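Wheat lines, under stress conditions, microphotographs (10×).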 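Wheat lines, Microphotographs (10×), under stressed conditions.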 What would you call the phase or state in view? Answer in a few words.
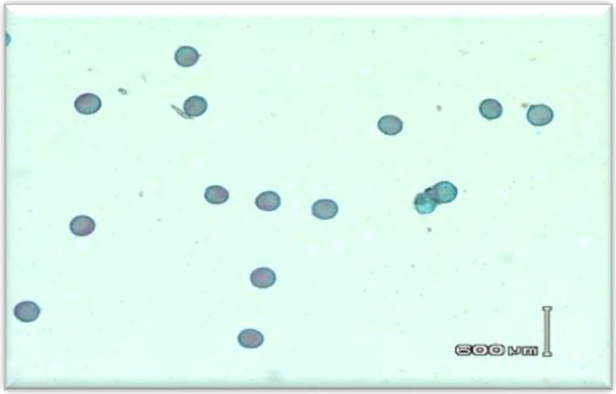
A: Sterile/non-viable pollens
